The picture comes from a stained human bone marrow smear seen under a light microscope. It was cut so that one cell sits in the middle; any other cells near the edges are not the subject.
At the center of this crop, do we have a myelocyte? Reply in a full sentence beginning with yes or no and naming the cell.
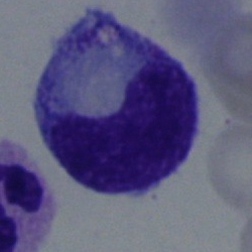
No, the central cell is properly termed a metamyelocyte, not a myelocyte.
